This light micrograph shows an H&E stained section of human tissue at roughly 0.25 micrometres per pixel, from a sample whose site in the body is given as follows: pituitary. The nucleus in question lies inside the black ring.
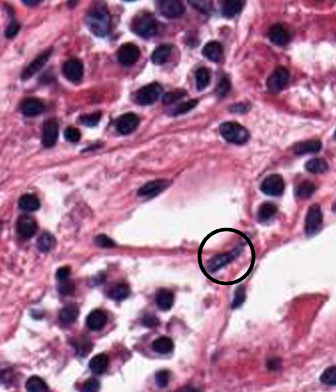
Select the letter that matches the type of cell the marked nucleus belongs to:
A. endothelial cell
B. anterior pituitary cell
A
